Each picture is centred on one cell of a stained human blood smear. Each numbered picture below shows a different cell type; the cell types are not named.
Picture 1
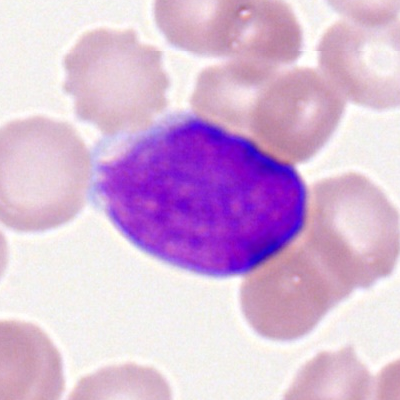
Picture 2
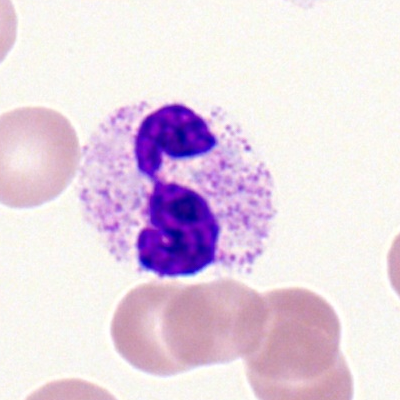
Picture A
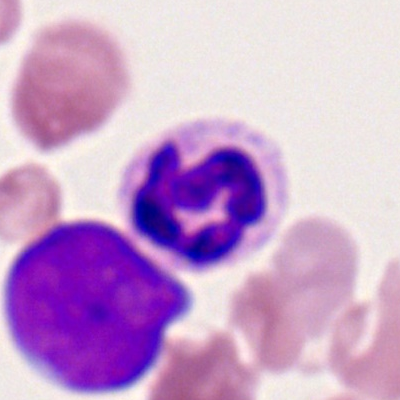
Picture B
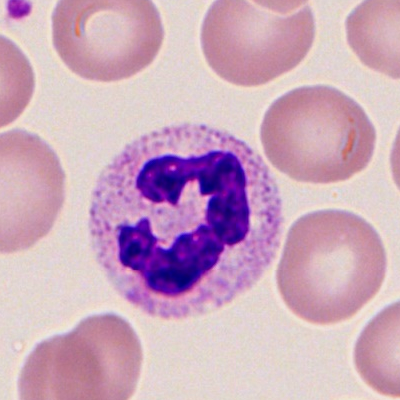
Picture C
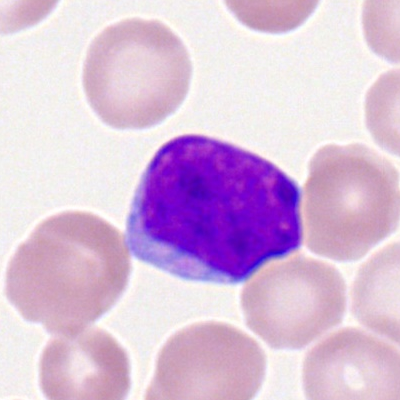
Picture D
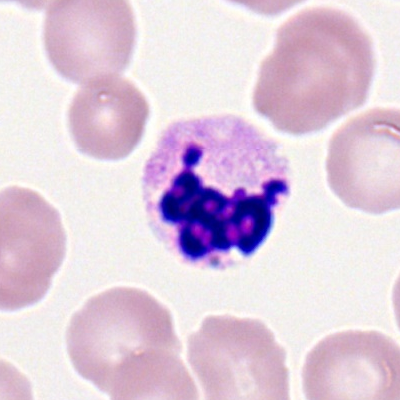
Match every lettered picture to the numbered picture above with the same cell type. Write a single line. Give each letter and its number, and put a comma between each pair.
A 2, B 2, C 1, D 2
